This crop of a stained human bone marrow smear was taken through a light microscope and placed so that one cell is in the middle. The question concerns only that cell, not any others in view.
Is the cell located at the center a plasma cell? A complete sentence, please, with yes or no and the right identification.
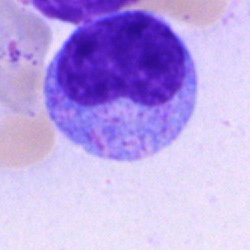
No, this cell in the middle is a myelocyte, so it is not a plasma cell.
